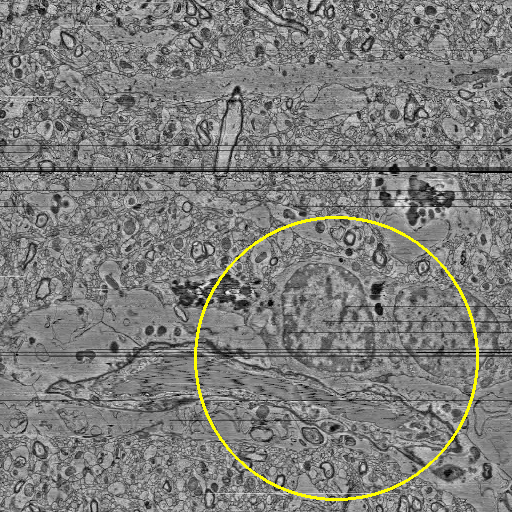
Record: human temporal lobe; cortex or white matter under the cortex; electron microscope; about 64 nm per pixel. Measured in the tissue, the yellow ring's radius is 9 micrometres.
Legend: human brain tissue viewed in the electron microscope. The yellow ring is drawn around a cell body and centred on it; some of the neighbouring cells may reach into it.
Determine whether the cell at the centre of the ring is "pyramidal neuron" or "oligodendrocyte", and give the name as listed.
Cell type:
oligodendrocyte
